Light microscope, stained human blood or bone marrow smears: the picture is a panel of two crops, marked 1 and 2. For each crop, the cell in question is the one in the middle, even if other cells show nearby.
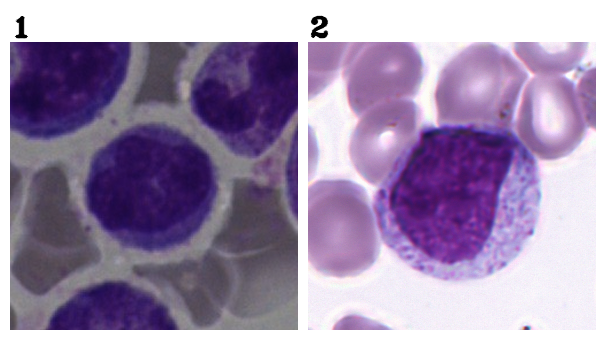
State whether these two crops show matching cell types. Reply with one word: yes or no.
no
